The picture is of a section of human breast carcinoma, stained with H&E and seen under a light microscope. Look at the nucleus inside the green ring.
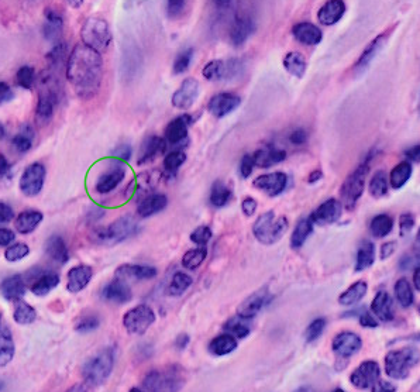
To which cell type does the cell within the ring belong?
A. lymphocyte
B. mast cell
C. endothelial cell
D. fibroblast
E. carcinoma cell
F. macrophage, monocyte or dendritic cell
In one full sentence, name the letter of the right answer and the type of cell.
Option A wins here: the cell within the ring is a lymphocyte.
